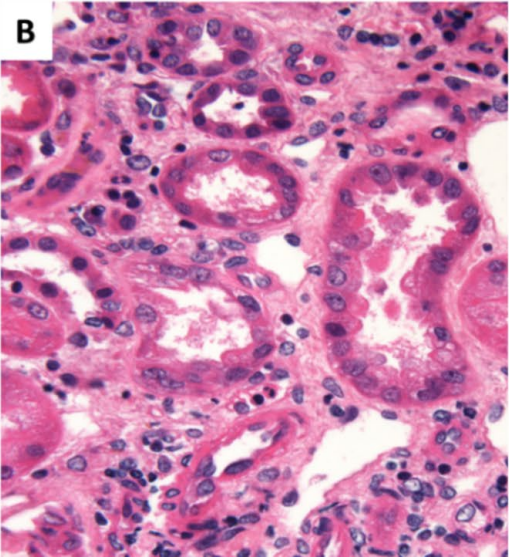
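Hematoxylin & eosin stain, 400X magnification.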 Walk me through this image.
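Renal cortex with tubules lined by epithelial cells with pink cytoplasm and round purple nuclei, their luminal borders irregular and frayed, with pale granular debris in the lumens. The interstitium between the tubules holds scattered small round cells with dark nuclei, more crowded in the lower part of the field.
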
